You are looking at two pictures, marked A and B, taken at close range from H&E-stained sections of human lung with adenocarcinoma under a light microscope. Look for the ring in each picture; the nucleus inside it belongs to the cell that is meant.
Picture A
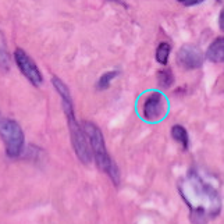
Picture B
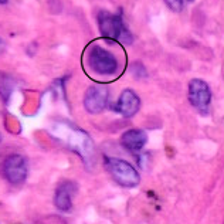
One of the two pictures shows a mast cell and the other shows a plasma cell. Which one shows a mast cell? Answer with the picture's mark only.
A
